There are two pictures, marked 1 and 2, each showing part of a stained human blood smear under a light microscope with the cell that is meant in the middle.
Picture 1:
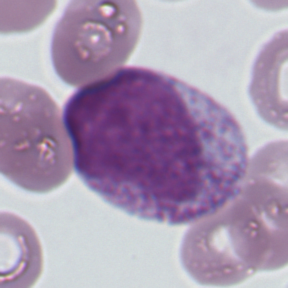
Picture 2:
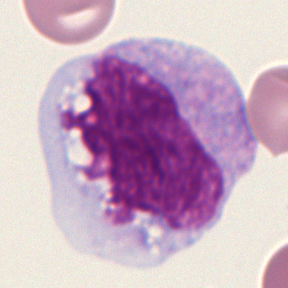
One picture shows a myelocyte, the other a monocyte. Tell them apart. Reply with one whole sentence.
It is picture 1 that shows a myelocyte, and picture 2 that shows a monocyte.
